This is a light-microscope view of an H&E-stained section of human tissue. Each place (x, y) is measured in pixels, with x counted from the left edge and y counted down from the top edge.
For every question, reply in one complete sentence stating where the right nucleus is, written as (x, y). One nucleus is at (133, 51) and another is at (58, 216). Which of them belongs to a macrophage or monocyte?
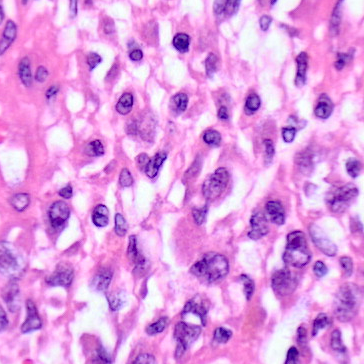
The nucleus whose cell is a macrophage or monocyte is the one at (133, 51).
